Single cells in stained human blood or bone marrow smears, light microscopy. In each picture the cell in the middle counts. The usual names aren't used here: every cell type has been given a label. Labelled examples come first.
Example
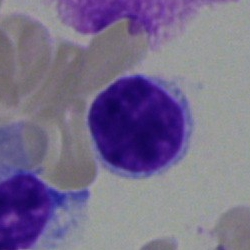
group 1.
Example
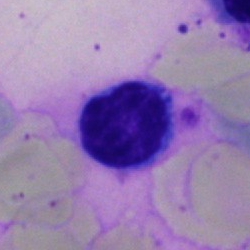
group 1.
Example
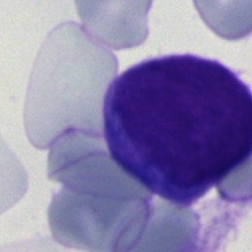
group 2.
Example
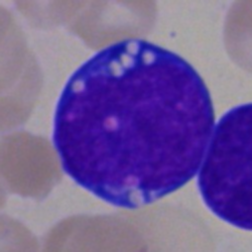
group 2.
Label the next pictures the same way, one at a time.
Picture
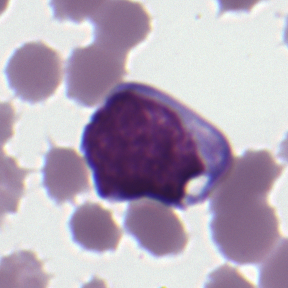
group 1.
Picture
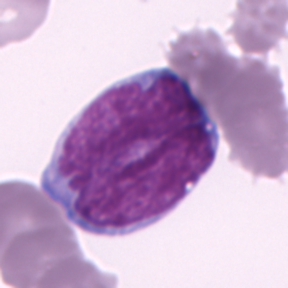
group 2.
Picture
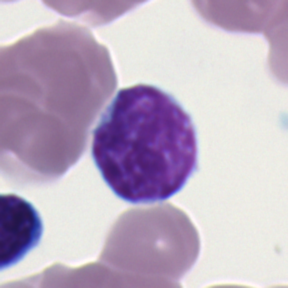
group 1.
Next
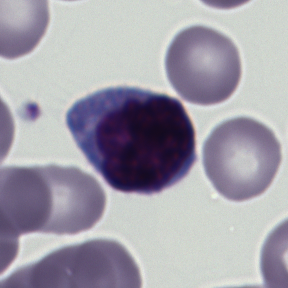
group 1.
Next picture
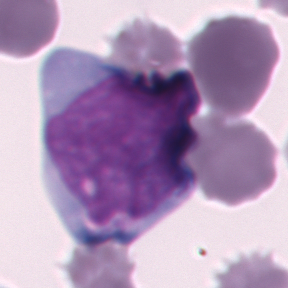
group 2.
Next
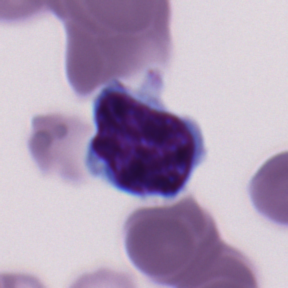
group 1.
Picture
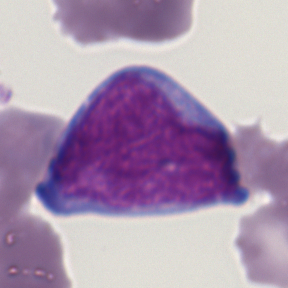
group 2.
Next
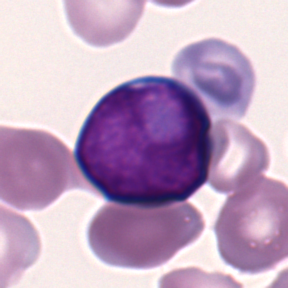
group 2.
